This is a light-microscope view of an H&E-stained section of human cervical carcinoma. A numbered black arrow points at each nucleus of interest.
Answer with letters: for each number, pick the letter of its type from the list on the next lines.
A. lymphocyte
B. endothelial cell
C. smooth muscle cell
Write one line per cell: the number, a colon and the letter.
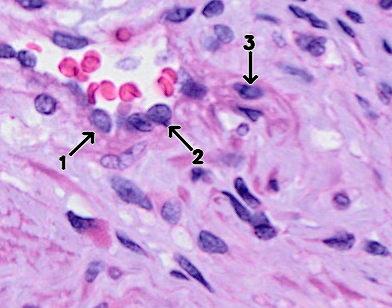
1: B
2: B
3: C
